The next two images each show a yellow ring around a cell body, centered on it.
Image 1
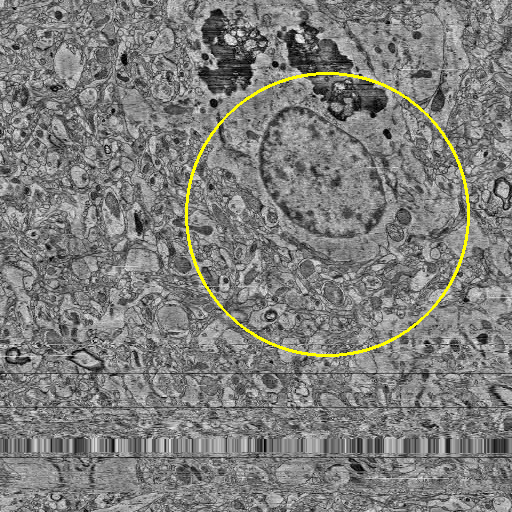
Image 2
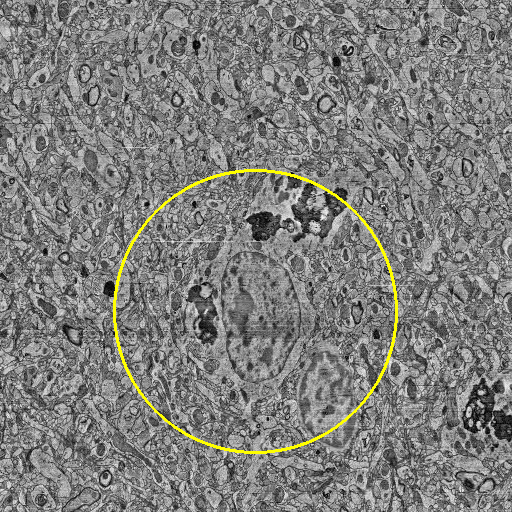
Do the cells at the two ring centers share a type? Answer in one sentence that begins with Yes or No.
Yes, across the two images the cells at the ring centers share one type.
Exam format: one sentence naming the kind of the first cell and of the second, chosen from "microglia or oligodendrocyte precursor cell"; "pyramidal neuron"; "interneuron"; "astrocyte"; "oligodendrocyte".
The cell in the first picture is an astrocyte, and so is the one in the second.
